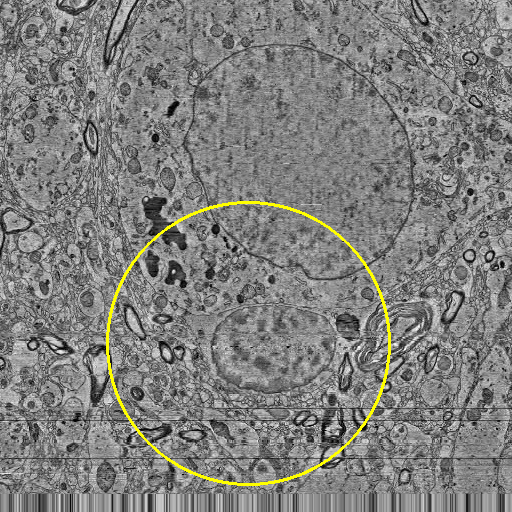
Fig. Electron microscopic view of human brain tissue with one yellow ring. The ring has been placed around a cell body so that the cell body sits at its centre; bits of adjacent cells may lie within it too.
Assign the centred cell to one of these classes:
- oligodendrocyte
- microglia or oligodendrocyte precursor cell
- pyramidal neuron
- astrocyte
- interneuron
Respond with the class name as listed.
oligodendrocyte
